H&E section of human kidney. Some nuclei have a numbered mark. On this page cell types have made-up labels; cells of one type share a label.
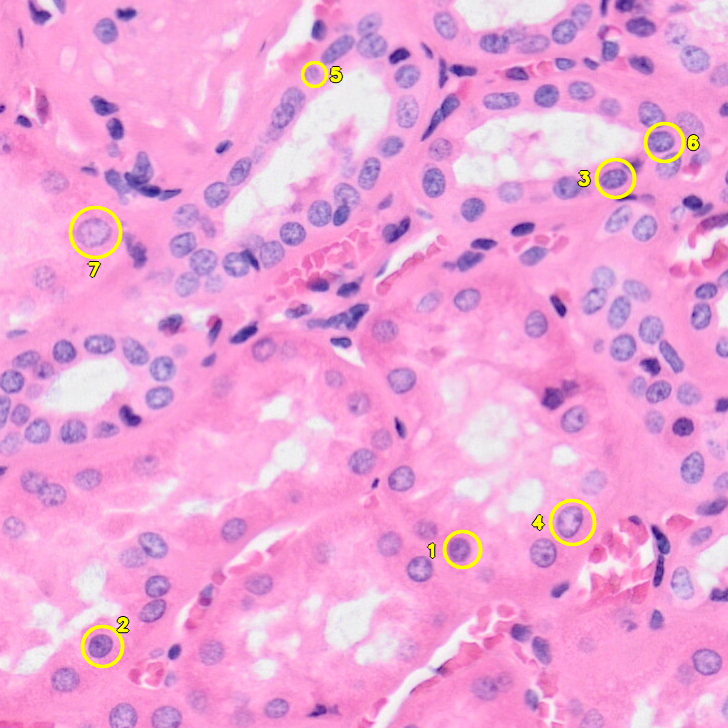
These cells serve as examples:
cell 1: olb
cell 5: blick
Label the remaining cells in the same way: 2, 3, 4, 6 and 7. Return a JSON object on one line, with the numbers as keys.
{"2": "olb", "3": "blick", "4": "olb", "6": "blick", "7": "olb"}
